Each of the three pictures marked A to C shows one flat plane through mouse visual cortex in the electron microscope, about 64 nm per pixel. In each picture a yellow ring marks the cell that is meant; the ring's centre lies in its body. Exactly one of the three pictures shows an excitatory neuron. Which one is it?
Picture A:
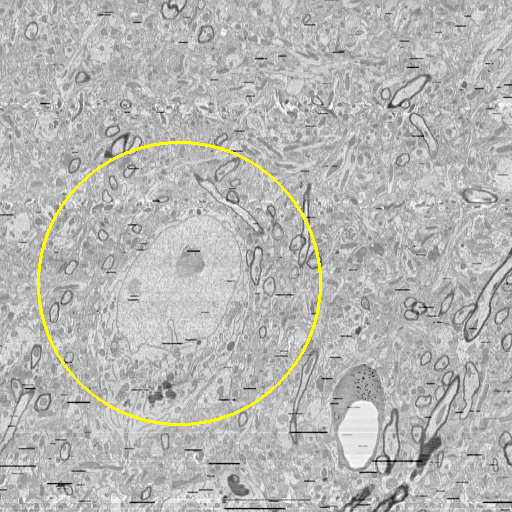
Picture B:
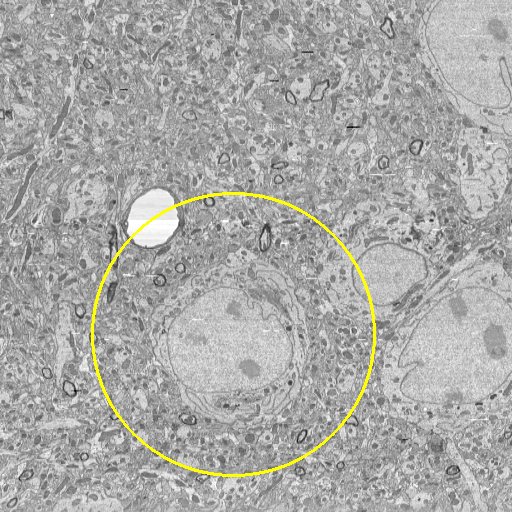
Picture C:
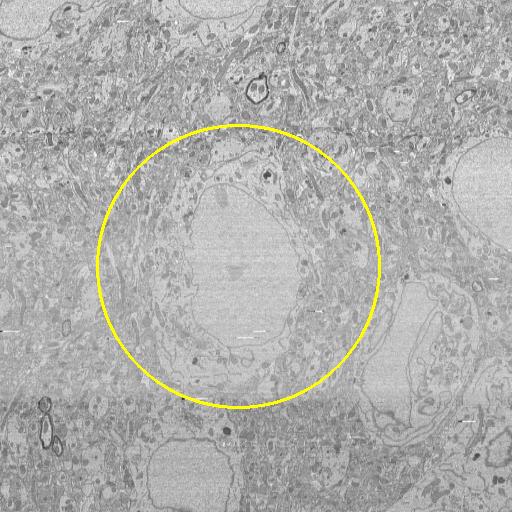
Picture C shows the excitatory neuron.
